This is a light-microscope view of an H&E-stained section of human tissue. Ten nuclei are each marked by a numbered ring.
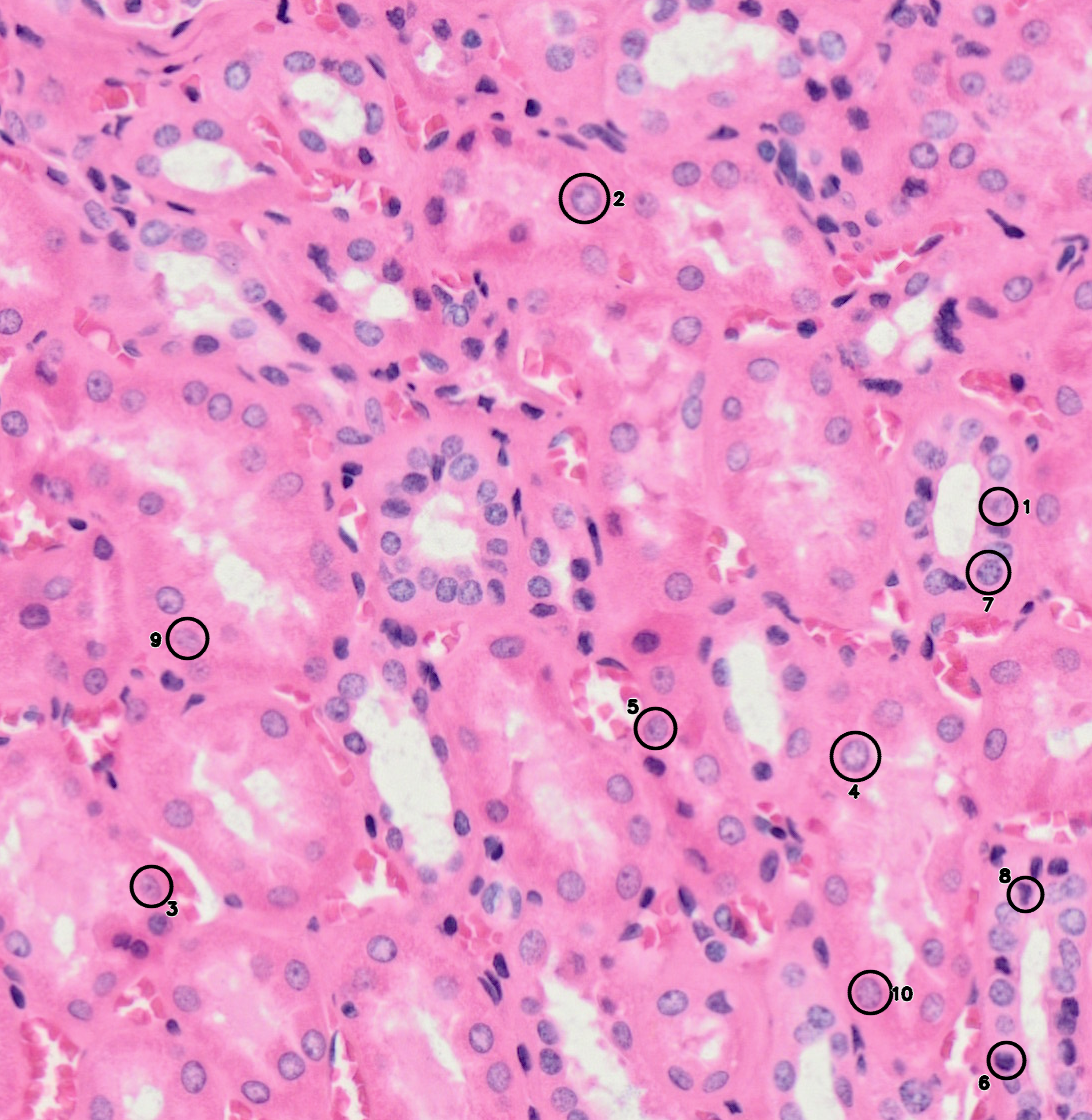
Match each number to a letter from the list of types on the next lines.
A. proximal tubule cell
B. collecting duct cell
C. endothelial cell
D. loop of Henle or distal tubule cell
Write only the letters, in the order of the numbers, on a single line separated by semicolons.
B; A; A; A; A; B; B; B; A; A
